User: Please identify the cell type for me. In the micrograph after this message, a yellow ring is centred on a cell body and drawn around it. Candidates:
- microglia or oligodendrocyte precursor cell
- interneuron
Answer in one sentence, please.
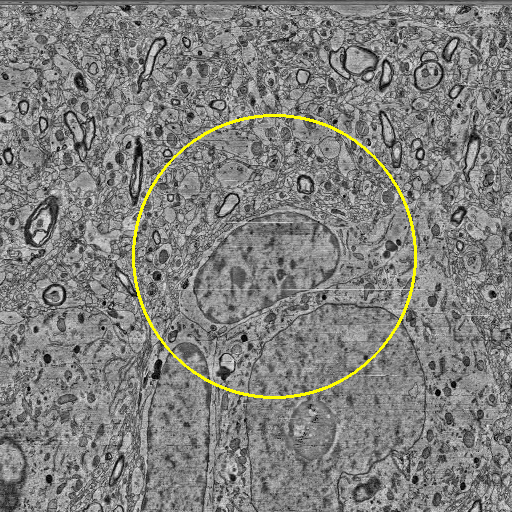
The ring is drawn around the cell body of a microglial cell or oligodendrocyte precursor cell.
